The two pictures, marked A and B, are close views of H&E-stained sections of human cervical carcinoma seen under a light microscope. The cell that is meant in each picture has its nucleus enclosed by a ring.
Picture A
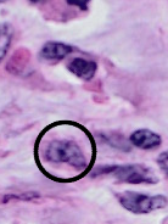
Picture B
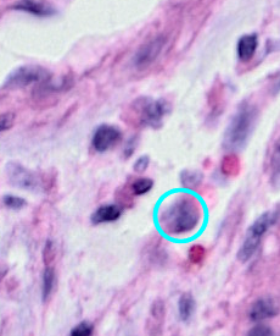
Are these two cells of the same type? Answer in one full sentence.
No; the cell in picture A is a “macrophage or monocyte”, while the one in picture B is an endothelial cell.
